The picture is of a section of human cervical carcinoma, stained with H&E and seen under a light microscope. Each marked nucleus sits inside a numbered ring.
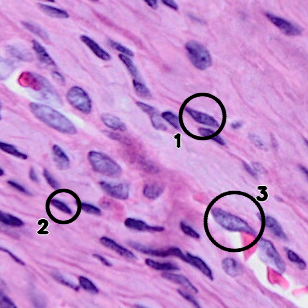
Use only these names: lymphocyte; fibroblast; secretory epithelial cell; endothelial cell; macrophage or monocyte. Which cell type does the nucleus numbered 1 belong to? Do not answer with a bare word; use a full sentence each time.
The cell carrying label 1 is identified as a fibroblast.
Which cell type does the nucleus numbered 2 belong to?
The one labeled 2 is a fibroblast, to put it simply.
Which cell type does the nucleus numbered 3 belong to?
The label 3 in this section denotes an endothelial cell.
